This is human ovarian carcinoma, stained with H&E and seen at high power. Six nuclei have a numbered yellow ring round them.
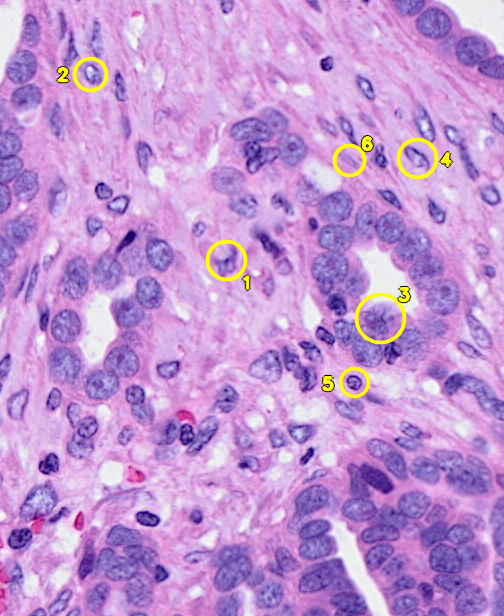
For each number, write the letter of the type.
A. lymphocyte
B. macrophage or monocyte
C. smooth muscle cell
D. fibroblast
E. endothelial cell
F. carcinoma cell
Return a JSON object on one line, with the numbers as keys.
{"1": "D", "2": "D", "3": "F", "4": "D", "5": "A", "6": "D"}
